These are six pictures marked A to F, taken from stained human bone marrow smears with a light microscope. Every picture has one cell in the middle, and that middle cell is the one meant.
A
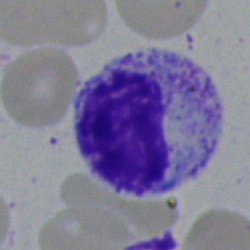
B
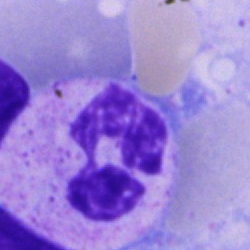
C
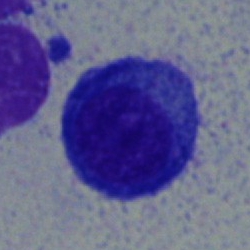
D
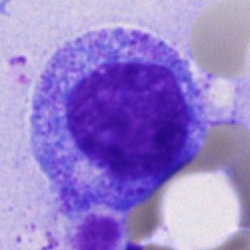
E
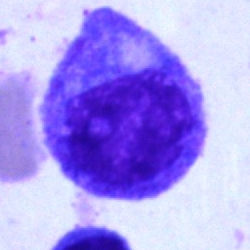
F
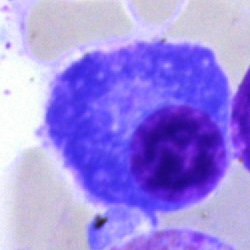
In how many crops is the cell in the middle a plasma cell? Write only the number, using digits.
2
